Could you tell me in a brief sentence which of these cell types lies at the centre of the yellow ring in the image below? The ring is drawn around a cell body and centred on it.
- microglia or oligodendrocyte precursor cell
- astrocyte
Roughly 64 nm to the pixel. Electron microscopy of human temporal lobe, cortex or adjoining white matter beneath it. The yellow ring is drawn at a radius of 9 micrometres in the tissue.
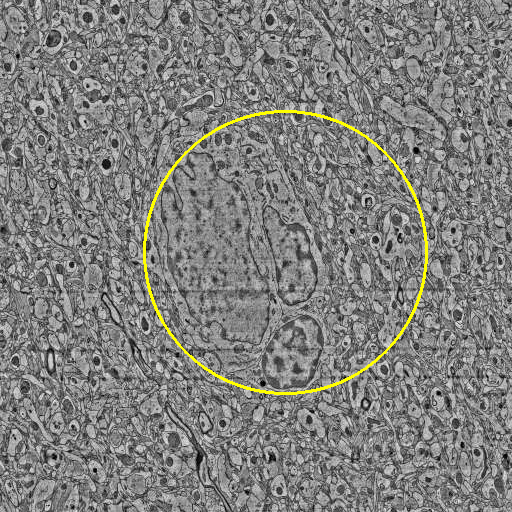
The cell centred in the ring is a microglial cell or oligodendrocyte precursor cell.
